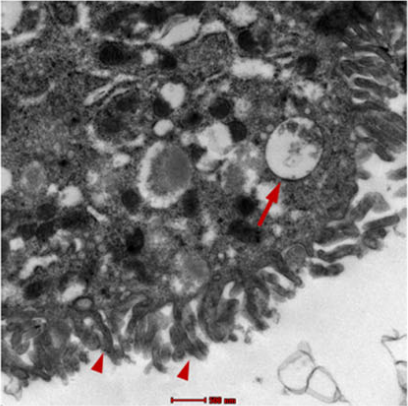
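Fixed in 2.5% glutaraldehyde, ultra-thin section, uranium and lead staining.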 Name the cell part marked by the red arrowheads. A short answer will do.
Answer: microvilli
